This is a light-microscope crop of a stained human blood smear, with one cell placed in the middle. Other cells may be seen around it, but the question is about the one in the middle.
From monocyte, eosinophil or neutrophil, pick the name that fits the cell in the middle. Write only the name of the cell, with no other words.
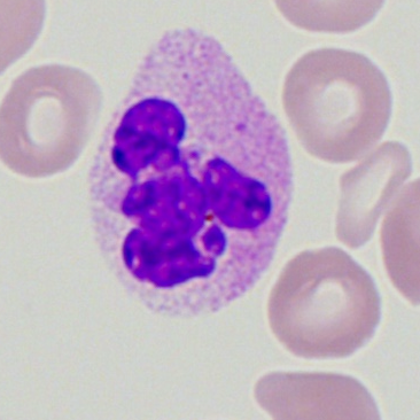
neutrophil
